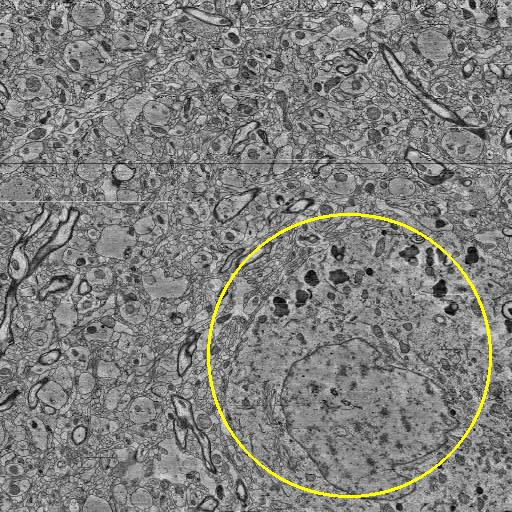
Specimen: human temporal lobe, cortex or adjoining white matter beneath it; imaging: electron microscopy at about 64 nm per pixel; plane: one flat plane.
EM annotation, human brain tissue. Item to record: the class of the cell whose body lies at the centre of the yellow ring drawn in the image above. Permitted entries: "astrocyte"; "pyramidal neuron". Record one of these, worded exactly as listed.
pyramidal neuron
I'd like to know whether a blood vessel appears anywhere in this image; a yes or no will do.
No, no vessel appears in the picture.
